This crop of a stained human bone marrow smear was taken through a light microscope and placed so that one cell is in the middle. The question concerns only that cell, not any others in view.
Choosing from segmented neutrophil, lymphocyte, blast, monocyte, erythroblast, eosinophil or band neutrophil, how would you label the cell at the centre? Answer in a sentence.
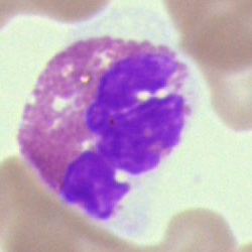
This crop's central cell is an eosinophil.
